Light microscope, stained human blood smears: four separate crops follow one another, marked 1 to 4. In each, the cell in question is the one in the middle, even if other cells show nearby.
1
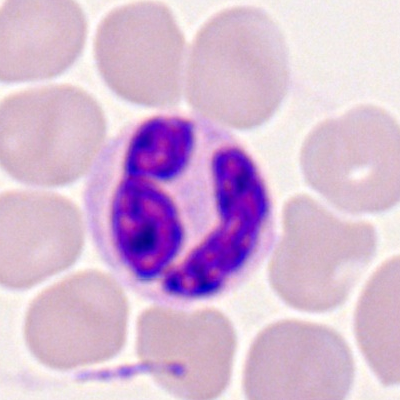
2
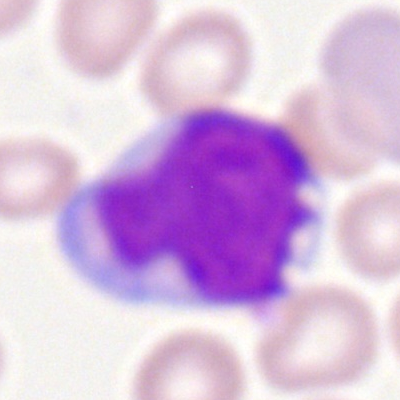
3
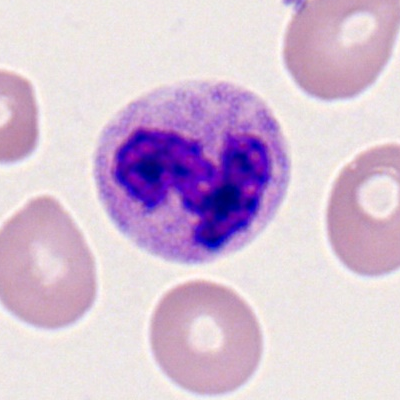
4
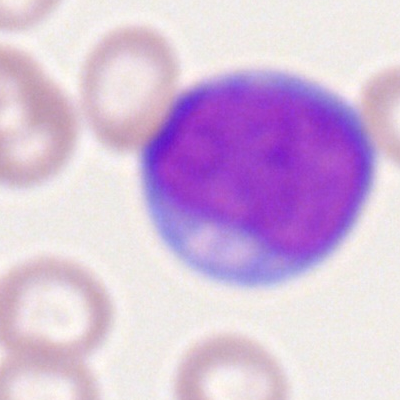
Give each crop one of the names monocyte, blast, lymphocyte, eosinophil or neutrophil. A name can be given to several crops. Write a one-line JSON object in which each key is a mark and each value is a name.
{"1": "neutrophil", "2": "blast", "3": "neutrophil", "4": "blast"}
